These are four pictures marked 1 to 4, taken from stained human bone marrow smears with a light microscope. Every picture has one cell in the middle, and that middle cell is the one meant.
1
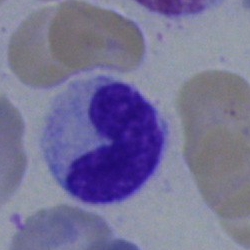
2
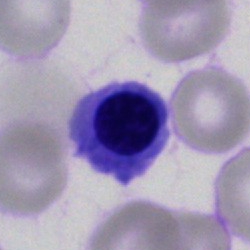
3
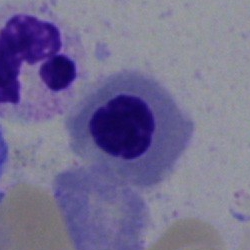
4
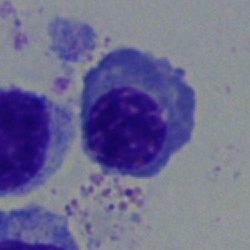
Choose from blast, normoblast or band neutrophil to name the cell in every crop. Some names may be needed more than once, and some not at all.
1: band neutrophil
2: normoblast
3: normoblast
4: normoblast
